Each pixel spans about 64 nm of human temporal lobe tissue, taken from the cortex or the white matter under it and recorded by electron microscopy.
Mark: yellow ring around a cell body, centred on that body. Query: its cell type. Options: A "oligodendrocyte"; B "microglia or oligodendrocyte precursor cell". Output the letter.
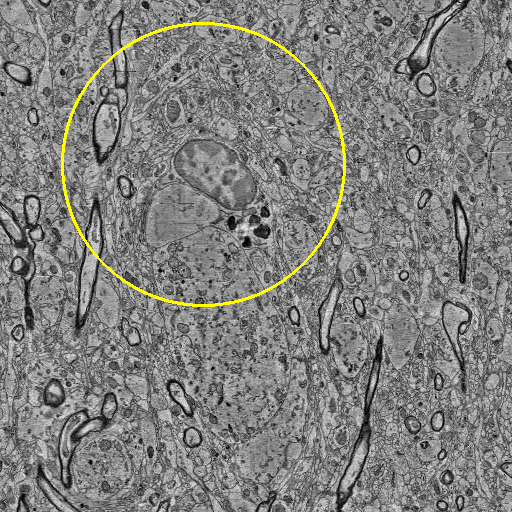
B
